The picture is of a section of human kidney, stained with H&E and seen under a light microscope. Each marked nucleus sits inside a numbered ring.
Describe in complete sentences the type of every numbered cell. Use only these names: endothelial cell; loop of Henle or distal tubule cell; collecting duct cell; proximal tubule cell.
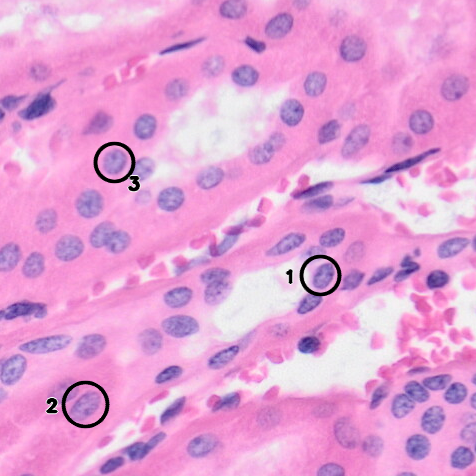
Cell 1 is a collecting duct cell, cell 2 is a proximal tubule cell and cell 3 is a loop of Henle or distal tubule cell.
